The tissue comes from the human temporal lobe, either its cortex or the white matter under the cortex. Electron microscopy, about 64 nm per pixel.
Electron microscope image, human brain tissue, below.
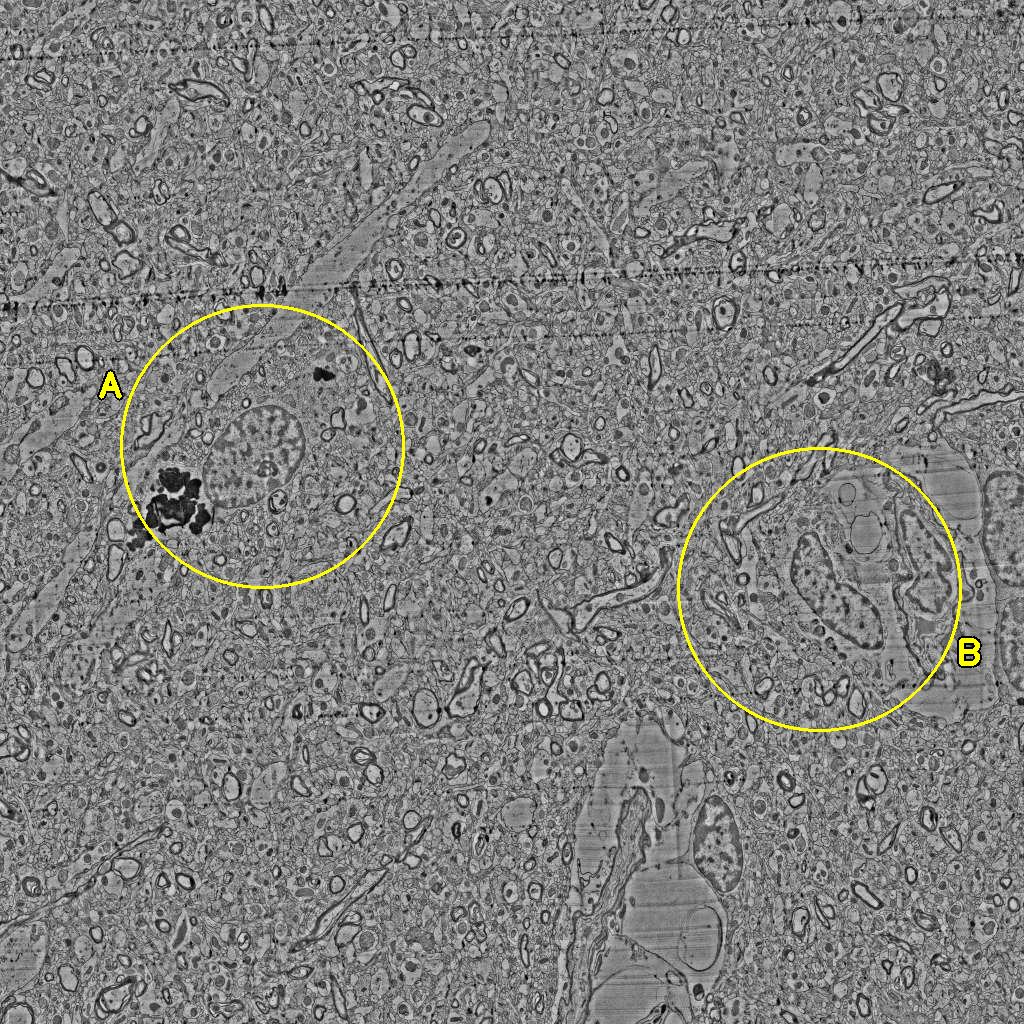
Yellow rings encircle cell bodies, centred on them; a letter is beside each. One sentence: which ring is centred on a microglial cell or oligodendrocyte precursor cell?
It is ring B.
